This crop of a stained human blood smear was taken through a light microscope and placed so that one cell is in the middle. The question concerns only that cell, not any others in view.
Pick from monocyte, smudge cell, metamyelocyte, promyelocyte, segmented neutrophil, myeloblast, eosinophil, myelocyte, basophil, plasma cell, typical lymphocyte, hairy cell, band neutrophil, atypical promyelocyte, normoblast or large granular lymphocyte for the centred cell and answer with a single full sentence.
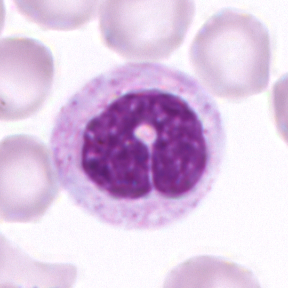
The cell shown in the center of this light-microscope crop is a band neutrophil.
